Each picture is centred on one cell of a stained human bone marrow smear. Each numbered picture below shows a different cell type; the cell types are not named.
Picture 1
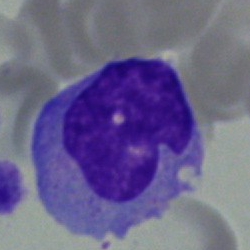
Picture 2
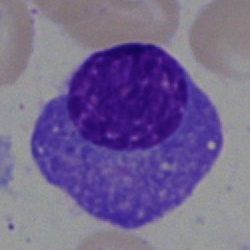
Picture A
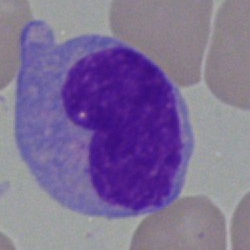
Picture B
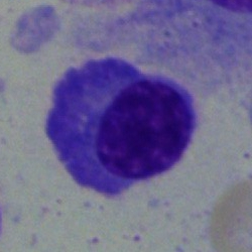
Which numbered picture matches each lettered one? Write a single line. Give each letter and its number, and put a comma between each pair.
A 1, B 2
